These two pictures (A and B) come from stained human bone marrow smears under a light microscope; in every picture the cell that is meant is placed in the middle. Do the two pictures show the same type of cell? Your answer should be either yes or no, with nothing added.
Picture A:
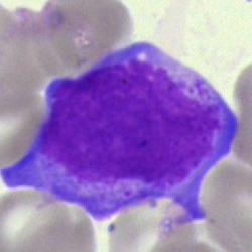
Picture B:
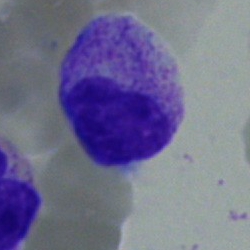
no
